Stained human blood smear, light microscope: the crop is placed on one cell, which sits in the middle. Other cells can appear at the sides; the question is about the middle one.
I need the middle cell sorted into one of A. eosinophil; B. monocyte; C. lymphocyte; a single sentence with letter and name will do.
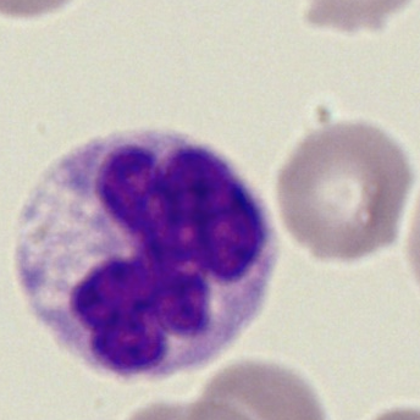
Of the options given, B is correct, the central cell being a monocyte.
